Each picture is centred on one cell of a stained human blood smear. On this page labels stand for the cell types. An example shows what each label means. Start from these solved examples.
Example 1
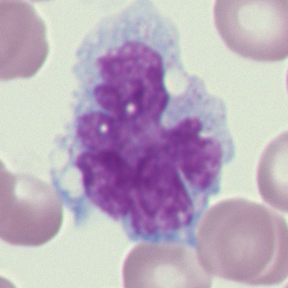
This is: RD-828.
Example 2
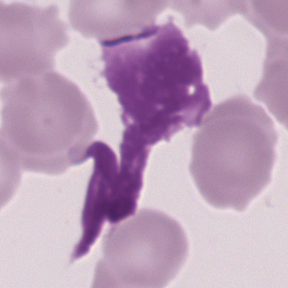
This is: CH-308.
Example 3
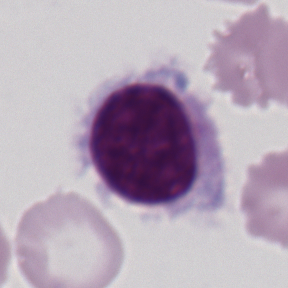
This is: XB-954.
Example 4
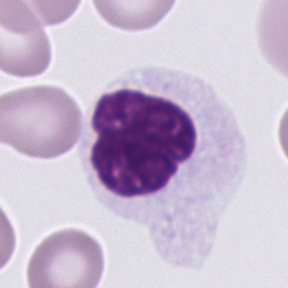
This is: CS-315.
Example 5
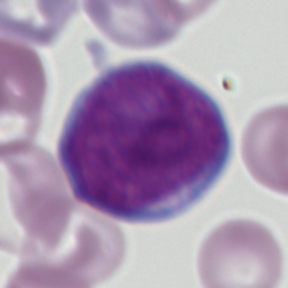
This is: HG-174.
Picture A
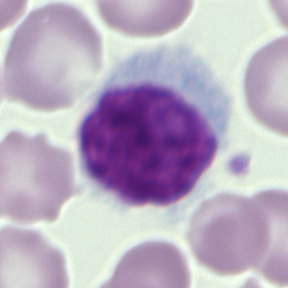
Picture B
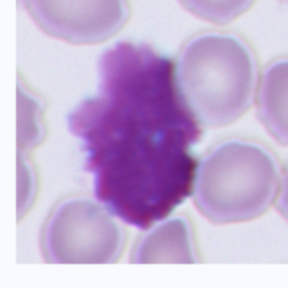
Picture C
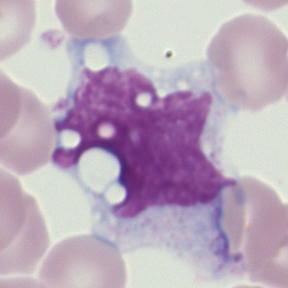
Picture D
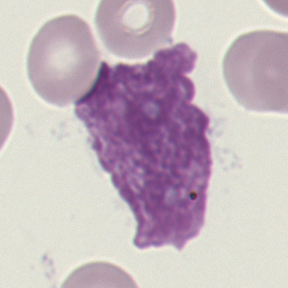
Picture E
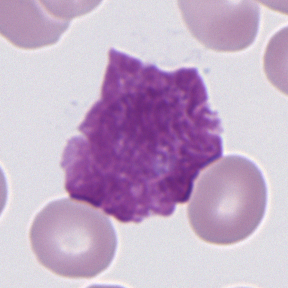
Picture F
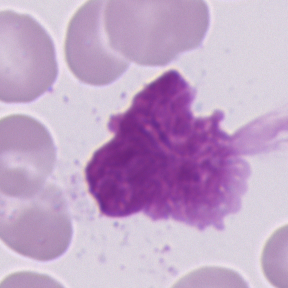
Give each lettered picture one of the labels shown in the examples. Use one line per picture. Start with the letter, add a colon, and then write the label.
A: XB-954.
B: CH-308.
C: RD-828.
D: CH-308.
E: CH-308.
F: CH-308.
